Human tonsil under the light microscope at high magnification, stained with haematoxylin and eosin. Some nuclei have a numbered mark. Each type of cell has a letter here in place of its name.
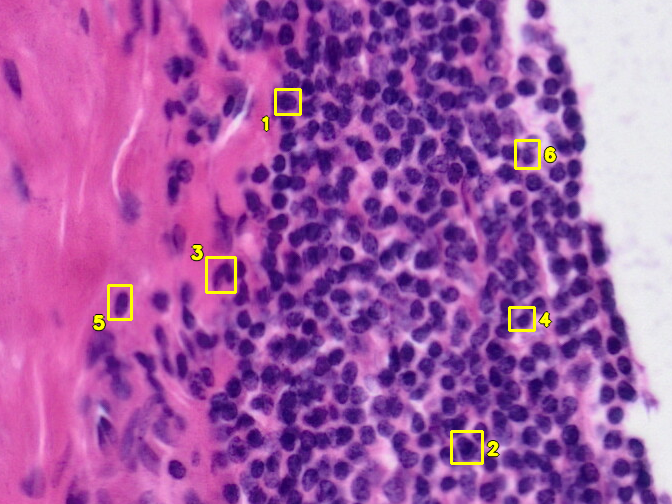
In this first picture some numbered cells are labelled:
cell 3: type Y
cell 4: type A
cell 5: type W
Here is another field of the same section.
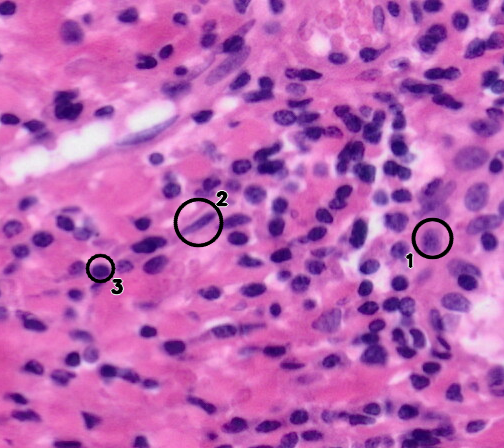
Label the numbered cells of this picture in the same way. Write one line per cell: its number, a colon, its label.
1: type Y
2: type Y
3: type W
